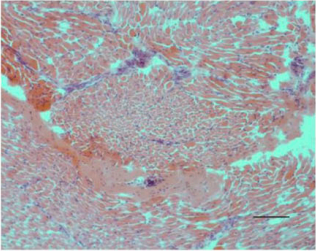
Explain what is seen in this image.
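This is a section of skeletal muscle showing muscle fibres grouped into fascicles. In the centre, one fascicle is cut in cross section, so its fibres appear as small, closely packed polygonal profiles with pink-red cytoplasm. Around it, other bundles are cut longitudinally or obliquely, and their fibres appear as elongated pink-red strands. Scattered small purple nuclei lie among the fibres.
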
